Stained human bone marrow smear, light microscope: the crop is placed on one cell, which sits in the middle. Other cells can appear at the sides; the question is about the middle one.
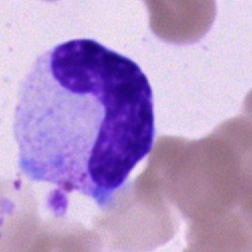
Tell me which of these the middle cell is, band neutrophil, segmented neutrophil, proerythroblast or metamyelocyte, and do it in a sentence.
At the middle of the frame sits a band neutrophil.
